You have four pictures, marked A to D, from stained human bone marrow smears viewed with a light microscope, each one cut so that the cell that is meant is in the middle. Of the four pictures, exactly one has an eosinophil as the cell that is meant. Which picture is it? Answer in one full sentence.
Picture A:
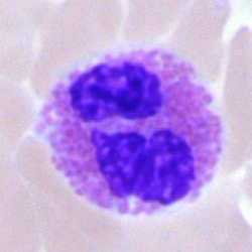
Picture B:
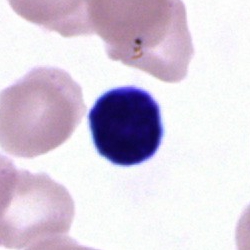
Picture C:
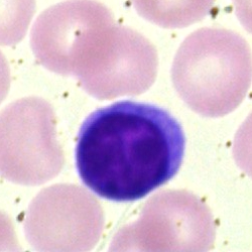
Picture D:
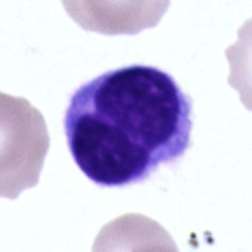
The cell in picture A is the eosinophil.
